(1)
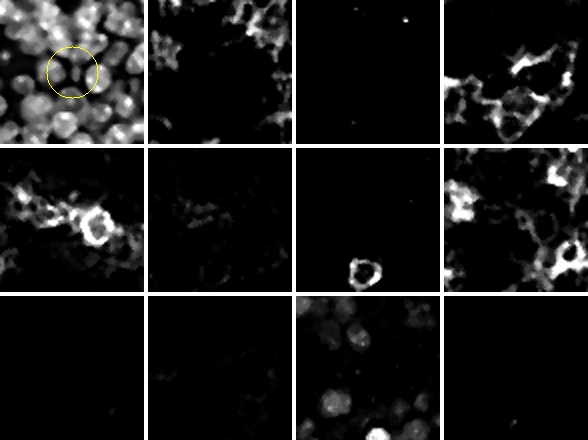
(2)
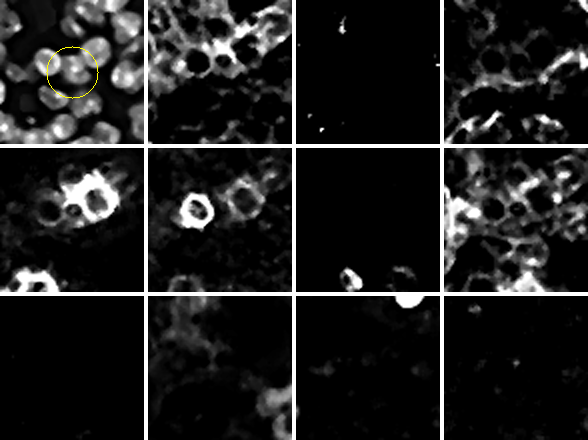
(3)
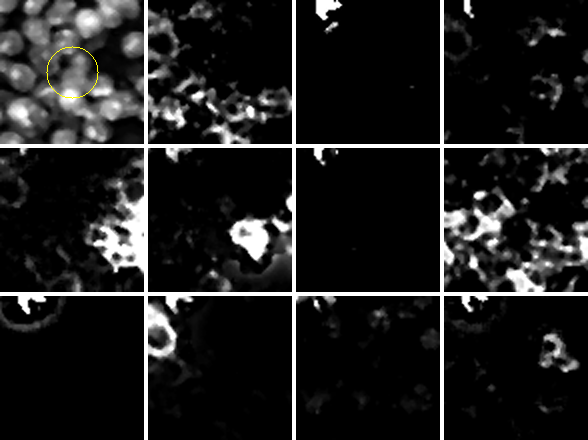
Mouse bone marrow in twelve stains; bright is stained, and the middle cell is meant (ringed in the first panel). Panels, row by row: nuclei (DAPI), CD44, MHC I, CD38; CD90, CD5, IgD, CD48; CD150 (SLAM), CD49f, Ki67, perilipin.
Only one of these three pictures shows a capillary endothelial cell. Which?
Picture 2.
